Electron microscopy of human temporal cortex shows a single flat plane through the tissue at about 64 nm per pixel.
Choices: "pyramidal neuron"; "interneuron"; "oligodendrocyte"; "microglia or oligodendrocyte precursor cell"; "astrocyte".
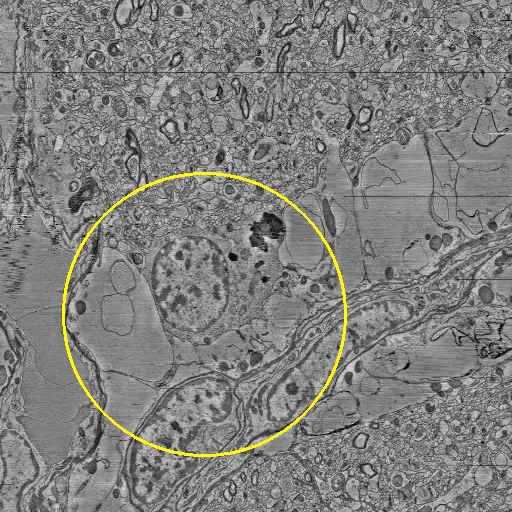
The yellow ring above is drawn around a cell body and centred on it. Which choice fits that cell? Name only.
oligodendrocyte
